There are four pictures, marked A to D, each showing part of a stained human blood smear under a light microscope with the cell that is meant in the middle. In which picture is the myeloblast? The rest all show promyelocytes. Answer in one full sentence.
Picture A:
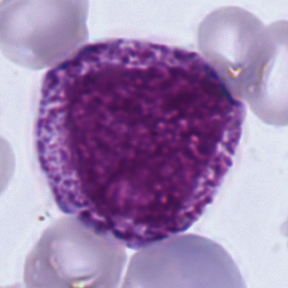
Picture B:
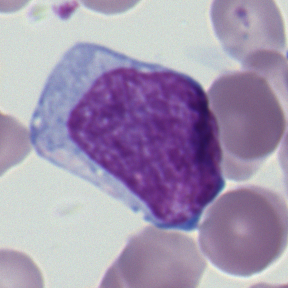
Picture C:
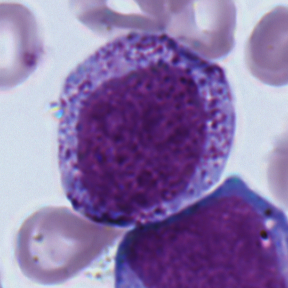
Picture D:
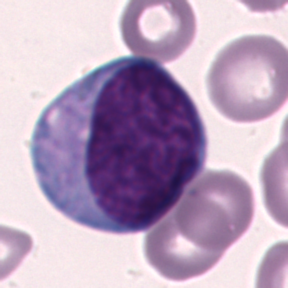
It is picture B that shows the myeloblast.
